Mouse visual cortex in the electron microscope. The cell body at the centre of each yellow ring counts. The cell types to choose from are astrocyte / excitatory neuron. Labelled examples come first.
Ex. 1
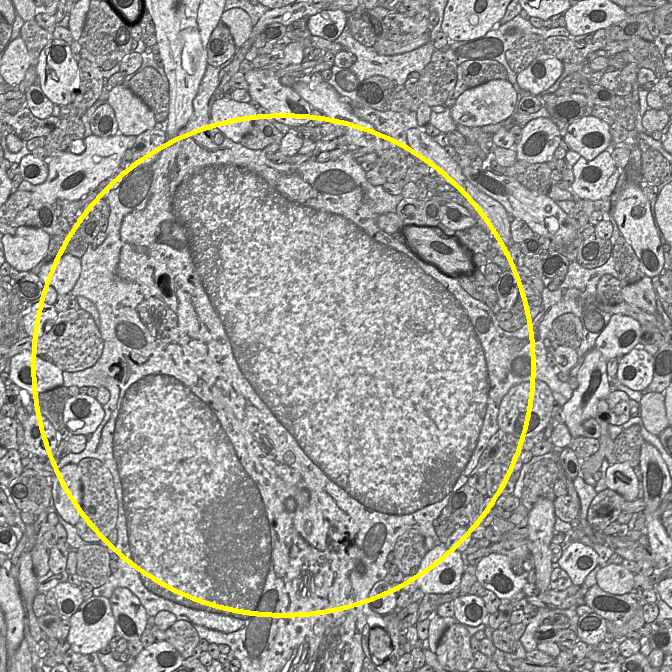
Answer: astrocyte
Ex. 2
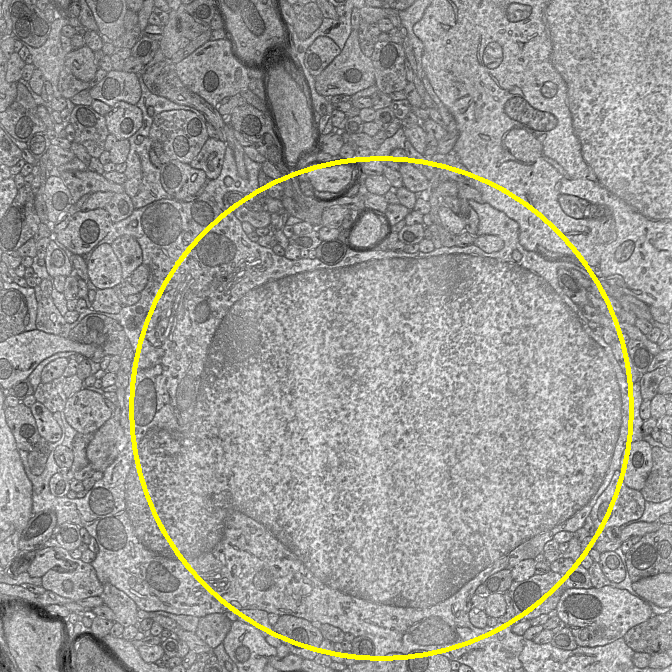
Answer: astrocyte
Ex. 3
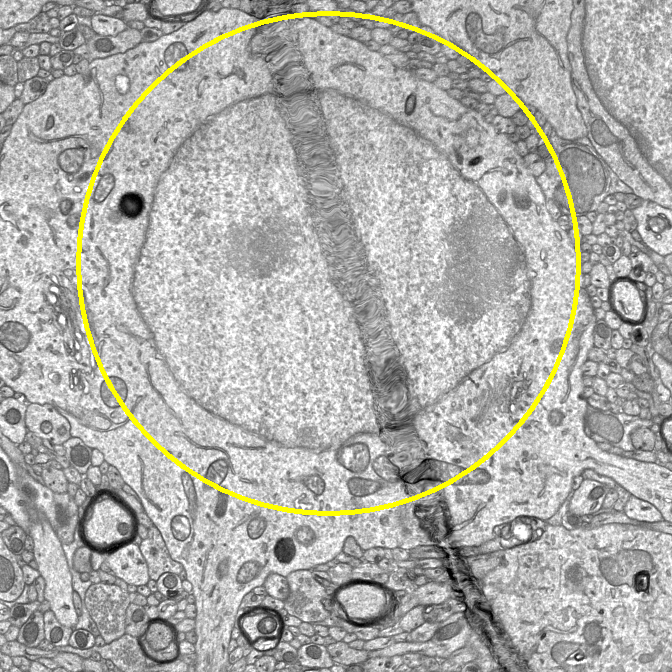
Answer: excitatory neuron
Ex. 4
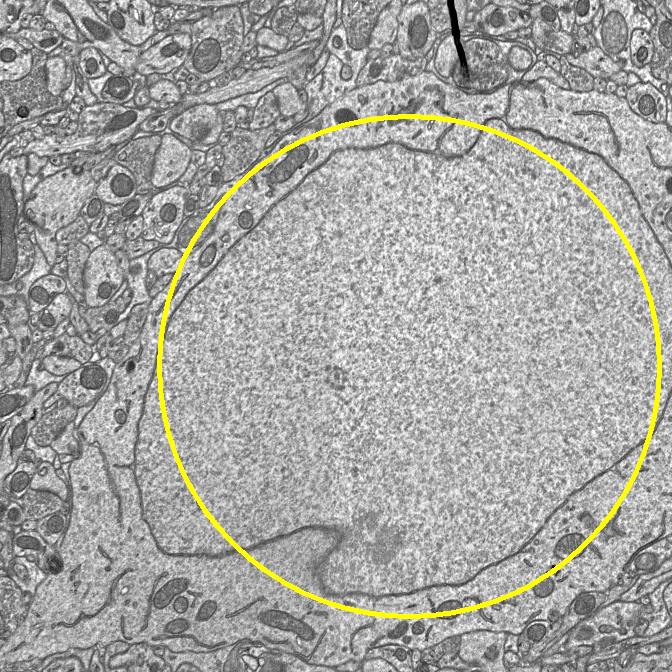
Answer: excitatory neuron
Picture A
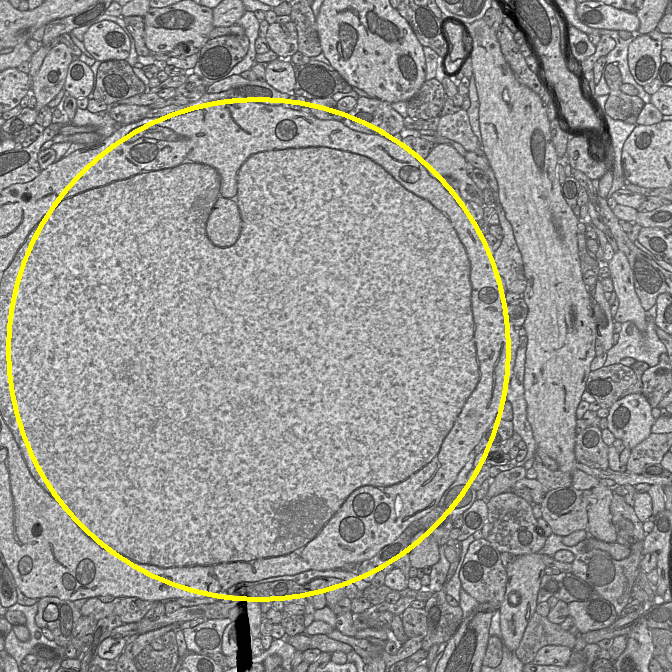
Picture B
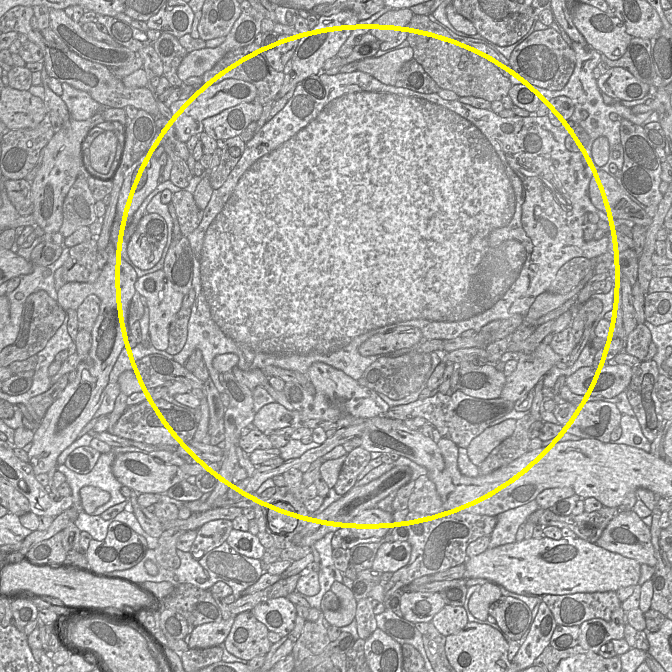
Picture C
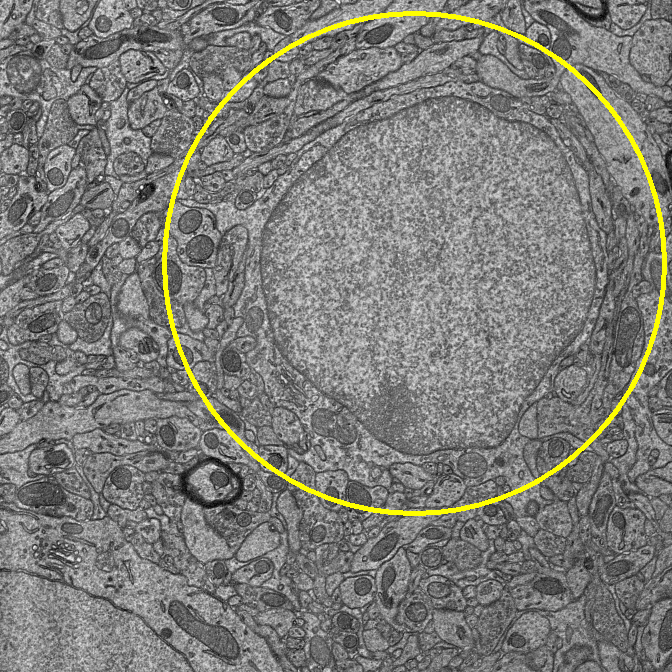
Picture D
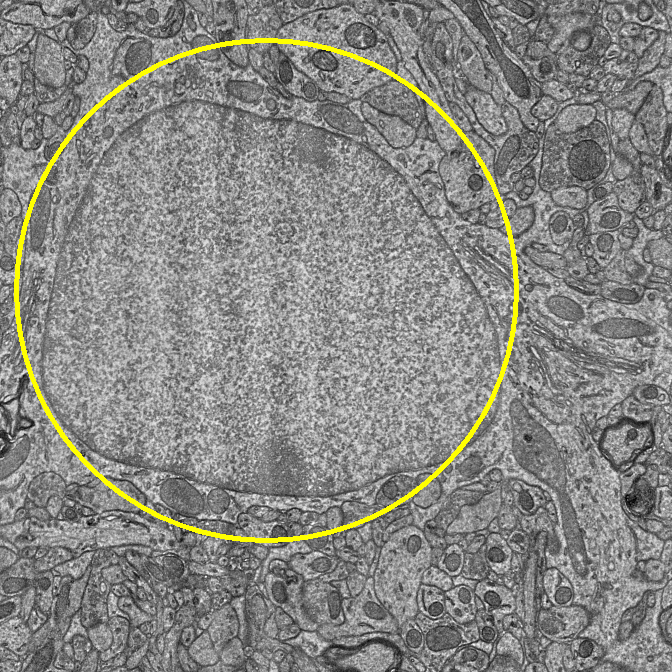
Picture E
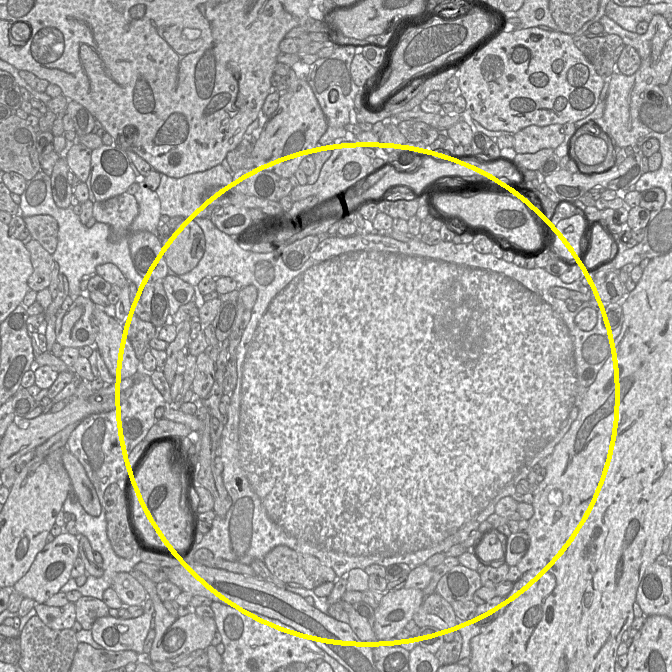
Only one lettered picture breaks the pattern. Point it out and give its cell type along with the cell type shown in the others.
Picture A: excitatory neuron. All others: astrocyte.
